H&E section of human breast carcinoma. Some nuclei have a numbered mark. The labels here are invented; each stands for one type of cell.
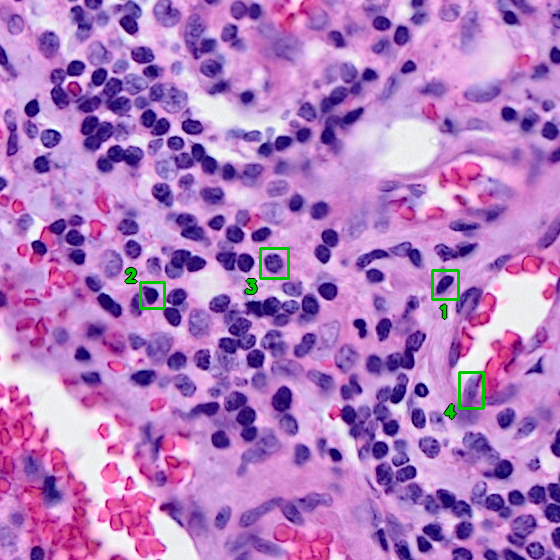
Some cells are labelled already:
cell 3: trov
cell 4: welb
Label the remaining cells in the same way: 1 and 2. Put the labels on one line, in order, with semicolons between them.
trov; trov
